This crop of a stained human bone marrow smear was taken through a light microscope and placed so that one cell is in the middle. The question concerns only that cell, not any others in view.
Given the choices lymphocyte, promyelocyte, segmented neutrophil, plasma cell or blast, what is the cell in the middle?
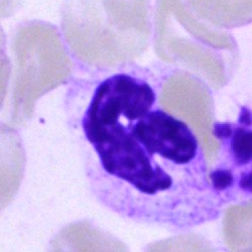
segmented neutrophil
